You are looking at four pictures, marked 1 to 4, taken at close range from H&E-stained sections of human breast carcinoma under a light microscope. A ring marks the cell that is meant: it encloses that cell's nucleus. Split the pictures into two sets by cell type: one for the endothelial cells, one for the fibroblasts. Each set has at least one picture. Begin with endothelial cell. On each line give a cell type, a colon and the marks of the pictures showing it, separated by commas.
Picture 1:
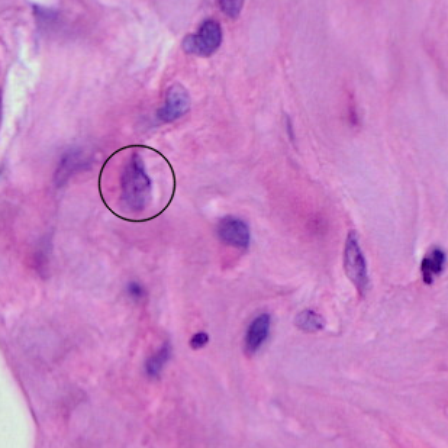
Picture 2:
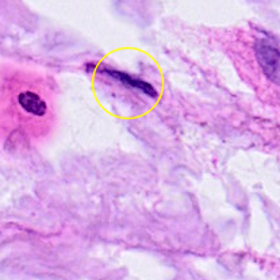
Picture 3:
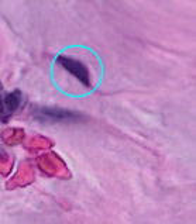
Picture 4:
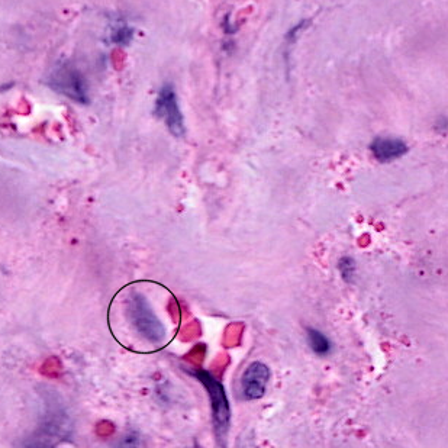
endothelial cell: 4
fibroblast: 1, 2, 3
